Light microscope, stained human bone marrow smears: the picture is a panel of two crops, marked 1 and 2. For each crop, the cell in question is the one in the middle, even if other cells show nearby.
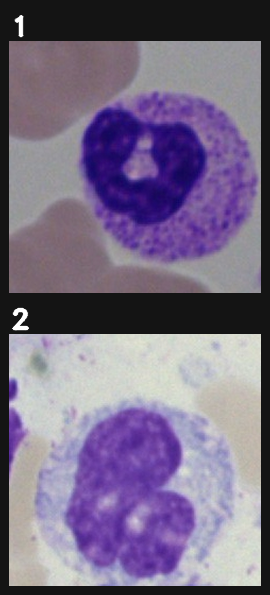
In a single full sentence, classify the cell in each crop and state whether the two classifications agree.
No, that is not right; crop 1 shows a neutrophil and crop 2 shows a monocyte.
